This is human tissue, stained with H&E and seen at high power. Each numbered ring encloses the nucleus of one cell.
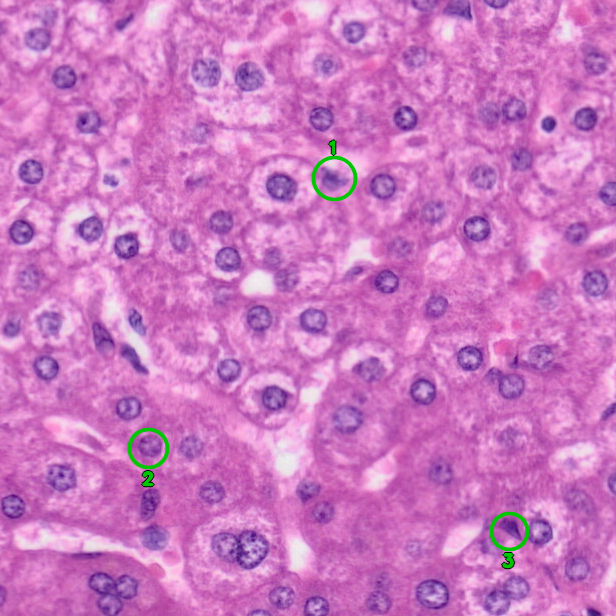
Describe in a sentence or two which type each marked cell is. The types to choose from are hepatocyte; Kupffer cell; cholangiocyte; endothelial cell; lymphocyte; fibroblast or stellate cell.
Cell 1 is an endothelial cell. Cell 2 is a hepatocyte. Cell 3 is a fibroblast or stellate cell.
